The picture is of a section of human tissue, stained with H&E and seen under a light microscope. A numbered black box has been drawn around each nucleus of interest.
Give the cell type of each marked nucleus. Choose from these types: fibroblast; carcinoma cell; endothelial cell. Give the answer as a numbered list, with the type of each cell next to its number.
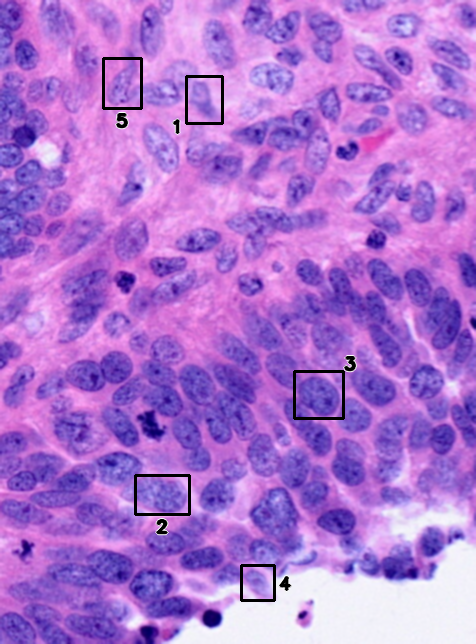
1. fibroblast
2. carcinoma cell
3. carcinoma cell
4. carcinoma cell
5. fibroblast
